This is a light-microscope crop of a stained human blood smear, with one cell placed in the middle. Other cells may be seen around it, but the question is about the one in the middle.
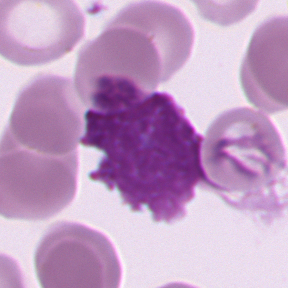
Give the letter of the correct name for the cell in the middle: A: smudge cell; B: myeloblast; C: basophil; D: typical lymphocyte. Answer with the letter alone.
A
